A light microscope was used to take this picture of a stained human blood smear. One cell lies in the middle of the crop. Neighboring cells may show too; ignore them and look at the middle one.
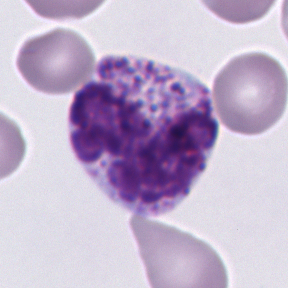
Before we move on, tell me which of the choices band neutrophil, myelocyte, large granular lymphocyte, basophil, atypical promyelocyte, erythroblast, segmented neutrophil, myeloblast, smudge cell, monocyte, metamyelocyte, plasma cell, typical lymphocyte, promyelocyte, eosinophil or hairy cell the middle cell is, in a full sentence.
The cell featured at the centre of this crop is a basophil.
